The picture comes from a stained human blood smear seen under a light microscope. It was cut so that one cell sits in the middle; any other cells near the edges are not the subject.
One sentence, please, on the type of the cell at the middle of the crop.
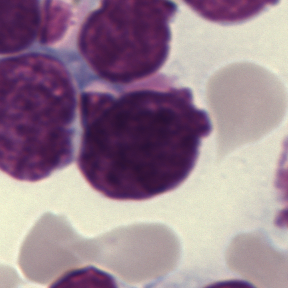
The central cell shown in this smear crop is a myeloblast.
